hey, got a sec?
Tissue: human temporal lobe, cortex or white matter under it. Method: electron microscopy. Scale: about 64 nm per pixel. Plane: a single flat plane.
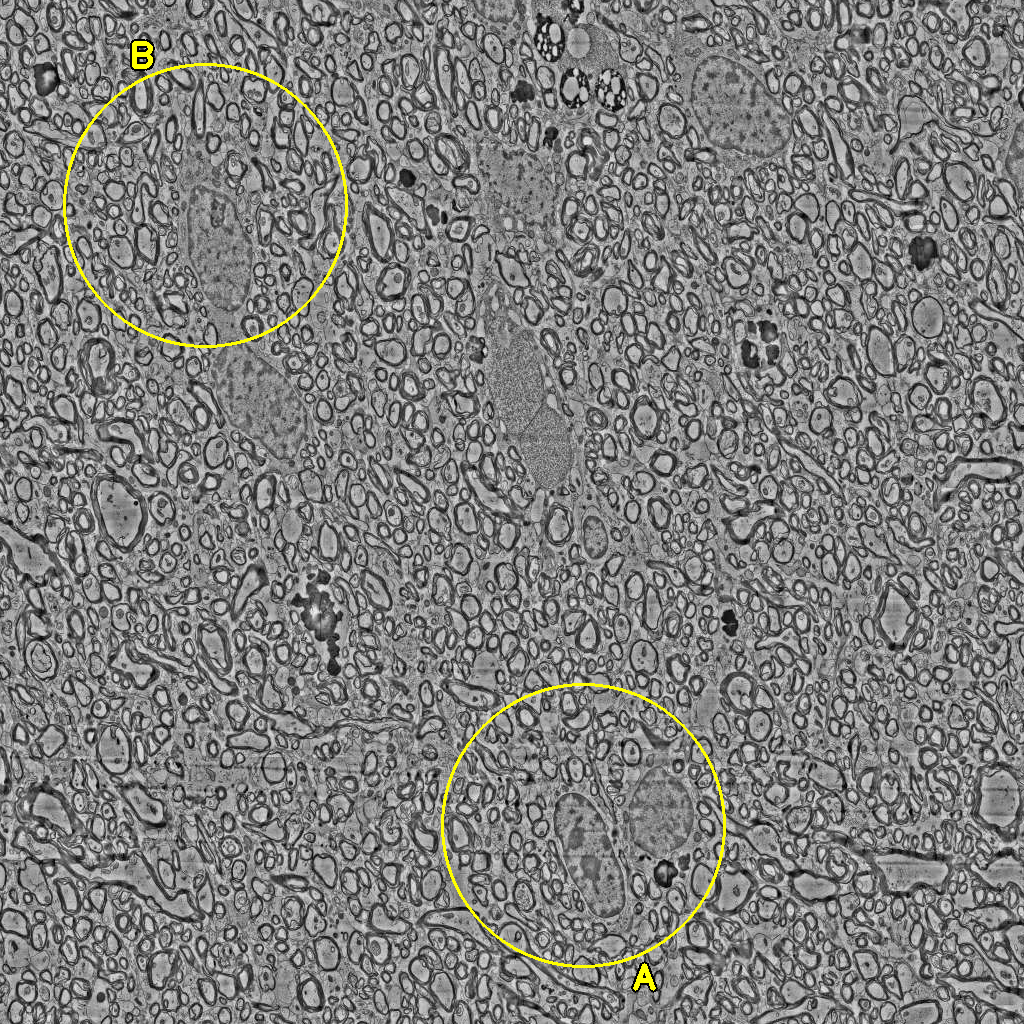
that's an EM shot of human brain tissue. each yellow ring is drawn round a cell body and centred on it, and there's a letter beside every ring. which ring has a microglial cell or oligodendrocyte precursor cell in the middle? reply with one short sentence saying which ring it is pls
Ring A is the one centred on it.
